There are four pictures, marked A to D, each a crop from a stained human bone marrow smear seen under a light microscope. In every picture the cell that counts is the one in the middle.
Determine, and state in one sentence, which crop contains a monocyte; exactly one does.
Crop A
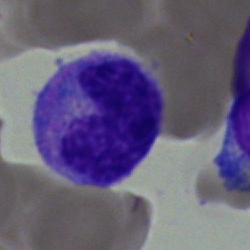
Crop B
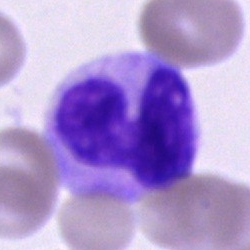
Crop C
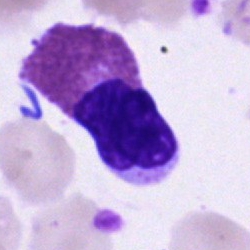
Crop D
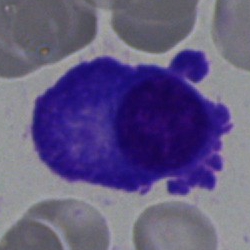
The one crop in the set with a monocyte is crop A.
